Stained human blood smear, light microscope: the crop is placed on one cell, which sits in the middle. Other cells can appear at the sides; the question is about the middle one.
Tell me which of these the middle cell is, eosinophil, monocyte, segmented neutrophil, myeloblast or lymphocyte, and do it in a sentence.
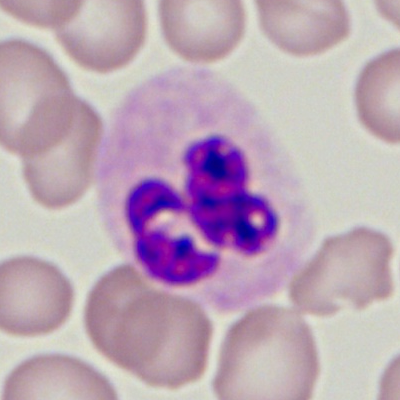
As for the cell in the middle, it is a segmented neutrophil.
